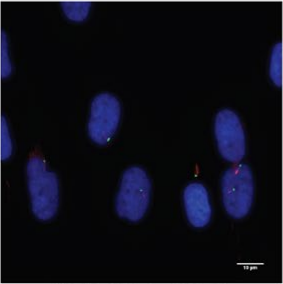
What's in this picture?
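Oval blue nuclei of cultured cells lie spread over a dark field, several with a short red rod next to them and a tiny green dot where the rod begins. The red rods are primary cilia and the green dots their basal bodies.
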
